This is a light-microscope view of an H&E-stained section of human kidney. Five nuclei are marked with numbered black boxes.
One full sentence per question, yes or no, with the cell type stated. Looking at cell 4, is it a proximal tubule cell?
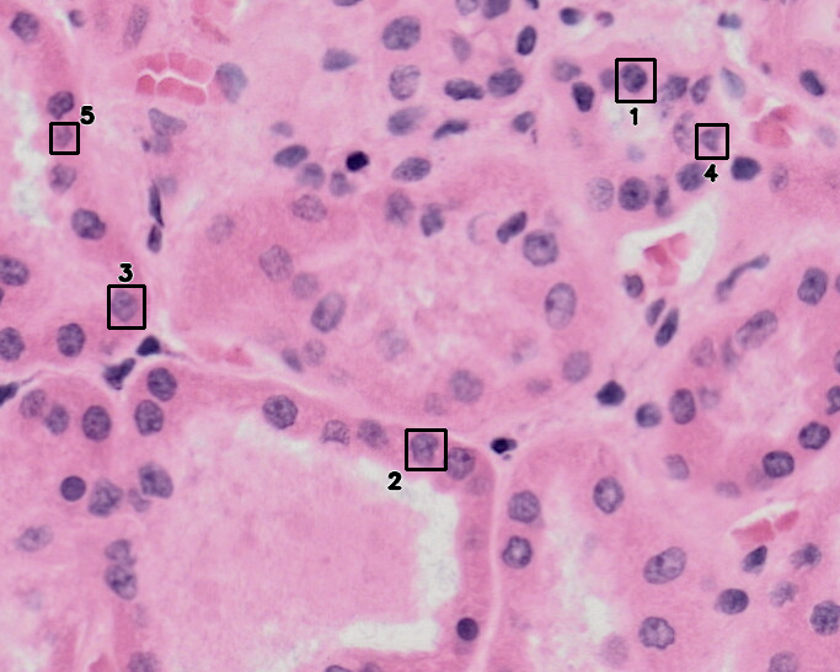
No, cell 4 is not a proximal tubule cell; a collecting duct cell is correct.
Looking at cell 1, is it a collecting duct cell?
Yes, with respect to number 1, the cell is a collecting duct cell.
